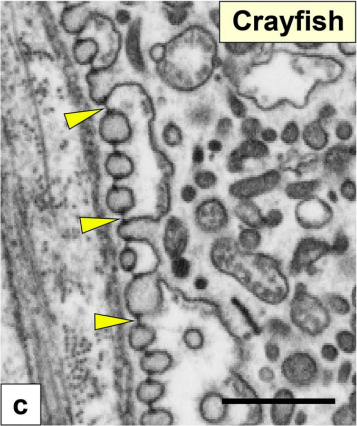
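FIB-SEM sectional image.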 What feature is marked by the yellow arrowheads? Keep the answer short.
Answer: slit diaphragm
